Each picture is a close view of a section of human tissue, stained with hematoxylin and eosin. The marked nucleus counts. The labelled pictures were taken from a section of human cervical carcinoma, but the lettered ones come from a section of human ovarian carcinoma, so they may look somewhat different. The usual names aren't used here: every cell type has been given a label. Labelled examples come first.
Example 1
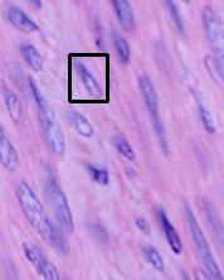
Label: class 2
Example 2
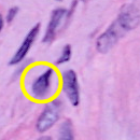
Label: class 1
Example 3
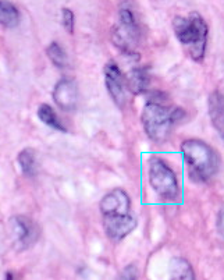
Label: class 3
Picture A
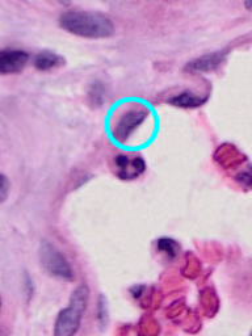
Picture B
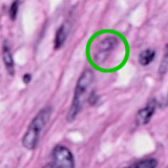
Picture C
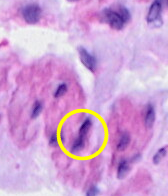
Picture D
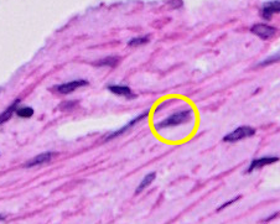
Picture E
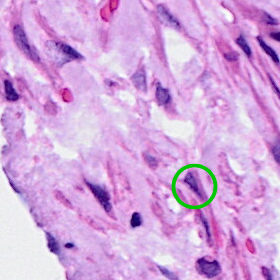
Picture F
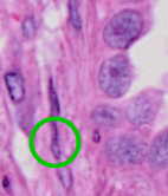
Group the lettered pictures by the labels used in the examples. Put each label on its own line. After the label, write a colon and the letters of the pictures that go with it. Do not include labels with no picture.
class 2: C
class 1: B, D, E, F
class 3: A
